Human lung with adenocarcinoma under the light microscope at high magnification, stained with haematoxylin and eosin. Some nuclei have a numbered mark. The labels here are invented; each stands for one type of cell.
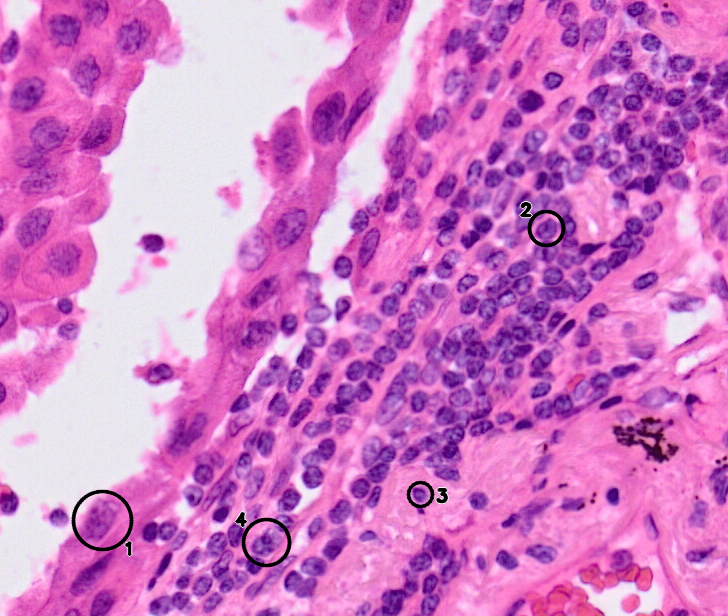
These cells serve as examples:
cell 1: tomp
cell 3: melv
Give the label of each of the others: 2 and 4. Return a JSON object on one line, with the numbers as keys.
{"2": "melv", "4": "melv"}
